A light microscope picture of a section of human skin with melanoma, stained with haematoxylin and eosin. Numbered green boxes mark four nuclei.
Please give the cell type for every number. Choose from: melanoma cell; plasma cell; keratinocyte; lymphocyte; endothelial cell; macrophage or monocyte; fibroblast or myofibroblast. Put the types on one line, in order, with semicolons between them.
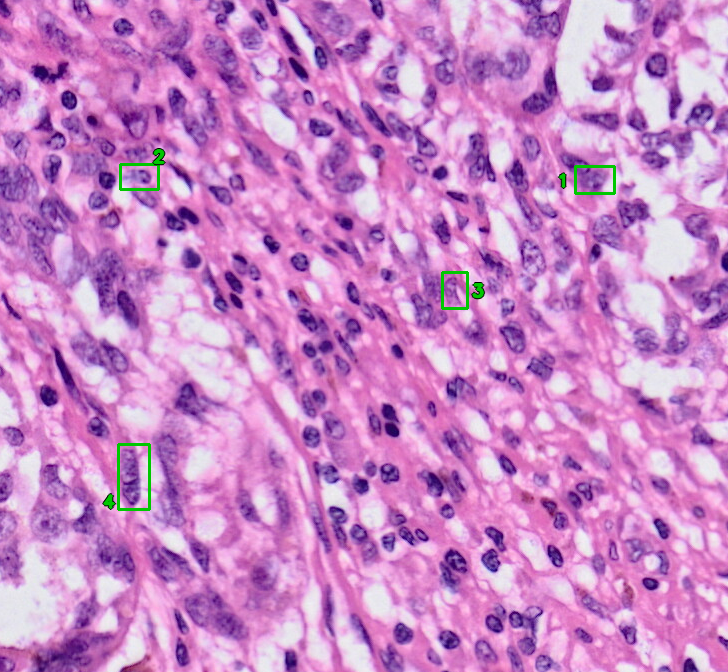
melanoma cell; lymphocyte; melanoma cell; melanoma cell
